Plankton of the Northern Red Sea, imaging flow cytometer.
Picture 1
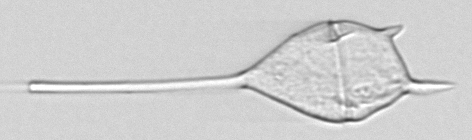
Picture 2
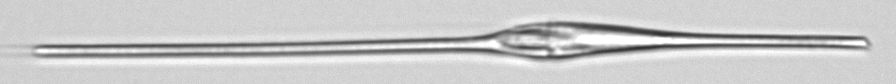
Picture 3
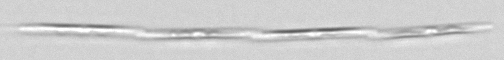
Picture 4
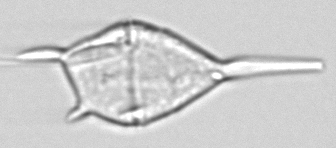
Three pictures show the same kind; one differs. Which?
Picture 3: Pseudo-nitzschia, while the others are Tripos.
